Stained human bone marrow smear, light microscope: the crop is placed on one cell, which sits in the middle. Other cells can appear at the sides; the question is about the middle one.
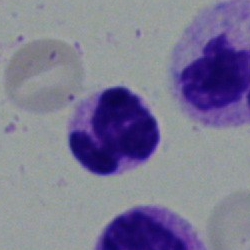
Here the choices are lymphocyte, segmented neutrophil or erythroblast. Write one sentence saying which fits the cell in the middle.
Centrally within this crop lies a segmented neutrophil.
